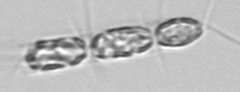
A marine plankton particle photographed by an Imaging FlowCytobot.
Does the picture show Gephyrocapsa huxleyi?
No, it shows Chaetoceros.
